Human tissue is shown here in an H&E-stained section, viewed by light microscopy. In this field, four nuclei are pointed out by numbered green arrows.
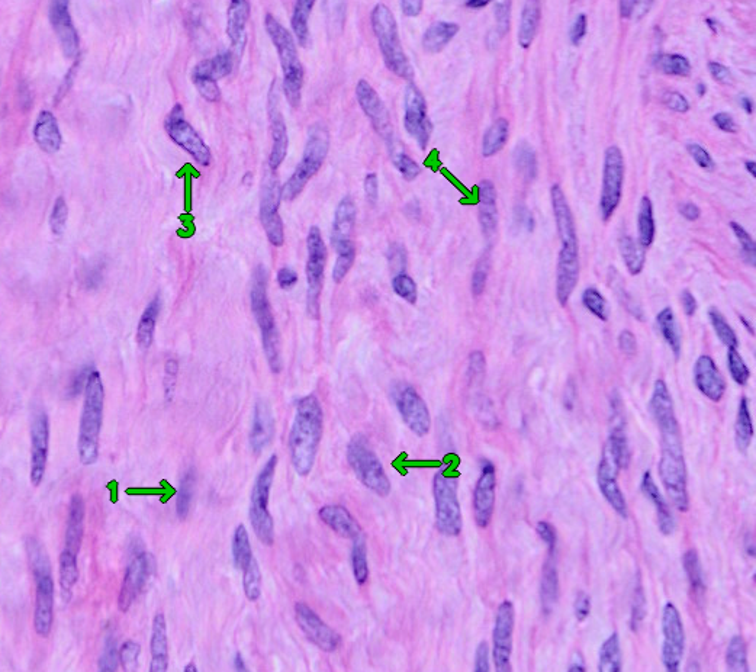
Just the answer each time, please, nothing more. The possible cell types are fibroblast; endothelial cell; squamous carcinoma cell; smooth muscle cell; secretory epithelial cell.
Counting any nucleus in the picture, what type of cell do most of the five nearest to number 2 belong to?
fibroblast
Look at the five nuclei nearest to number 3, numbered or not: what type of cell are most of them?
smooth muscle cell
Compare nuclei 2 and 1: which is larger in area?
2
